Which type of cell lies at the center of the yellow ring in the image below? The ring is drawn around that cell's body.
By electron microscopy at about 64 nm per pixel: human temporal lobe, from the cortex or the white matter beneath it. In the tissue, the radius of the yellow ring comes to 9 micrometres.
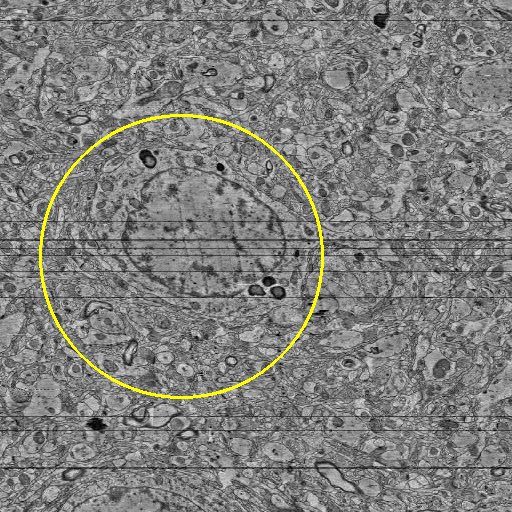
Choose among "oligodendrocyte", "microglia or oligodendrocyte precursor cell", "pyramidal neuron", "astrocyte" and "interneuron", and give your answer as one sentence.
The cell body at the center belongs to a pyramidal neuron.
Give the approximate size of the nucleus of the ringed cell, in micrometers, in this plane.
Approximately 10 by 9 micrometers in this plane.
